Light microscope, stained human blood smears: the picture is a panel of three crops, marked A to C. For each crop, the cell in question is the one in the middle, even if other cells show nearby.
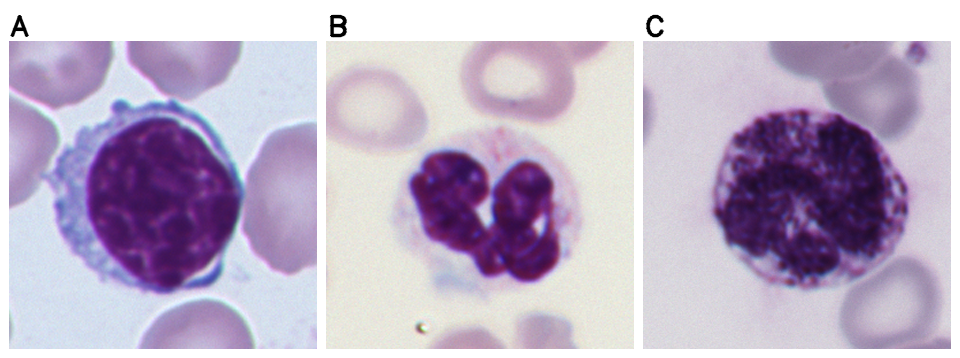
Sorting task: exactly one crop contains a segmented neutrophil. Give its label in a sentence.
Among the crops provided, a segmented neutrophil occupies the center of crop B.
